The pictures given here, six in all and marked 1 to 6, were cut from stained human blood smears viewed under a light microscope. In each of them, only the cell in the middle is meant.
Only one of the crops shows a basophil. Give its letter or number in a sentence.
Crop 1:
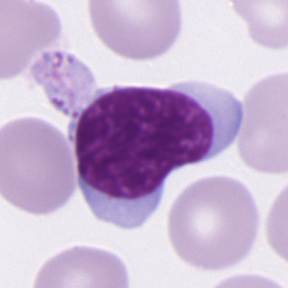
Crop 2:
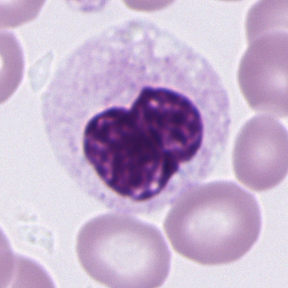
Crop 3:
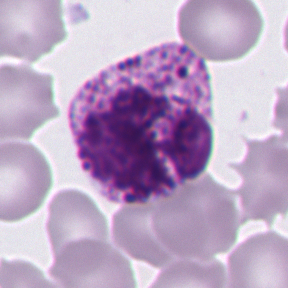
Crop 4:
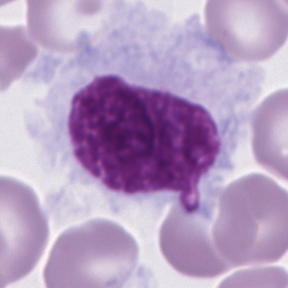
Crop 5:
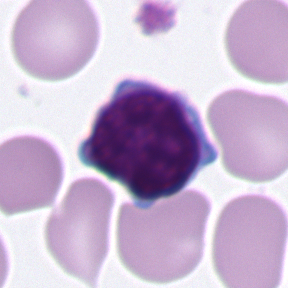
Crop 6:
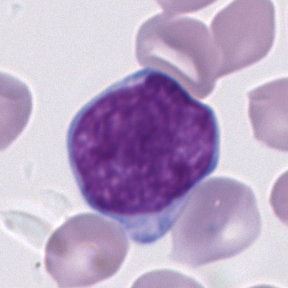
It is crop 3 that shows a basophil.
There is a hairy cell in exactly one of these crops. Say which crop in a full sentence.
On review of the set, crop 4 is the one showing a hairy cell.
